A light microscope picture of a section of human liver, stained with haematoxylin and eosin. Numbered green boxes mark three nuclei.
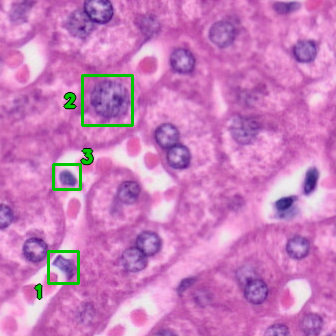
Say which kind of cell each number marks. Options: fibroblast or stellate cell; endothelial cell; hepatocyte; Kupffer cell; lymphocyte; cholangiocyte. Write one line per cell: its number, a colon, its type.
1: endothelial cell
2: hepatocyte
3: lymphocyte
